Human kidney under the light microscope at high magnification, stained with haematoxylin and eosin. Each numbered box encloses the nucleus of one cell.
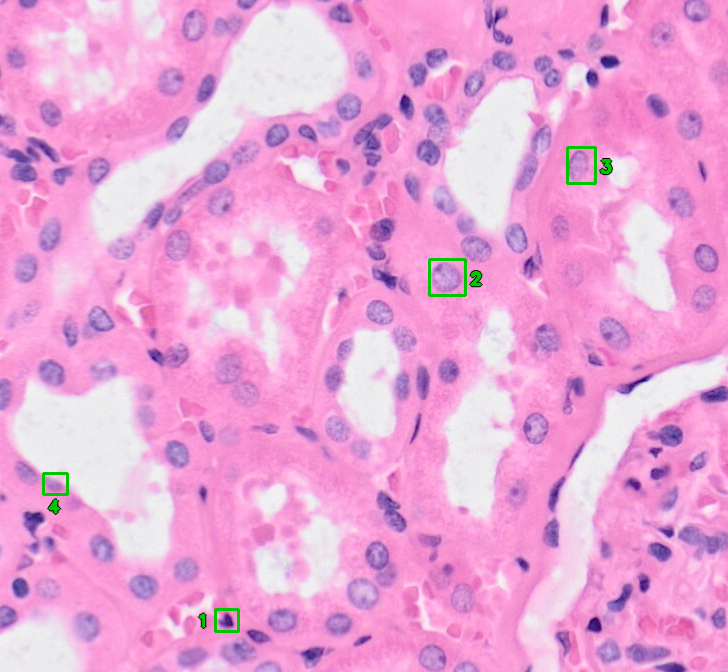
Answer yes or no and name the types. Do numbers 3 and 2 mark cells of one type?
Yes, both are proximal tubule cells.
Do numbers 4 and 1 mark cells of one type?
No, cell 4 is a loop of Henle or distal tubule cell and cell 1 is an endothelial cell.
